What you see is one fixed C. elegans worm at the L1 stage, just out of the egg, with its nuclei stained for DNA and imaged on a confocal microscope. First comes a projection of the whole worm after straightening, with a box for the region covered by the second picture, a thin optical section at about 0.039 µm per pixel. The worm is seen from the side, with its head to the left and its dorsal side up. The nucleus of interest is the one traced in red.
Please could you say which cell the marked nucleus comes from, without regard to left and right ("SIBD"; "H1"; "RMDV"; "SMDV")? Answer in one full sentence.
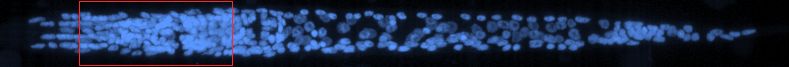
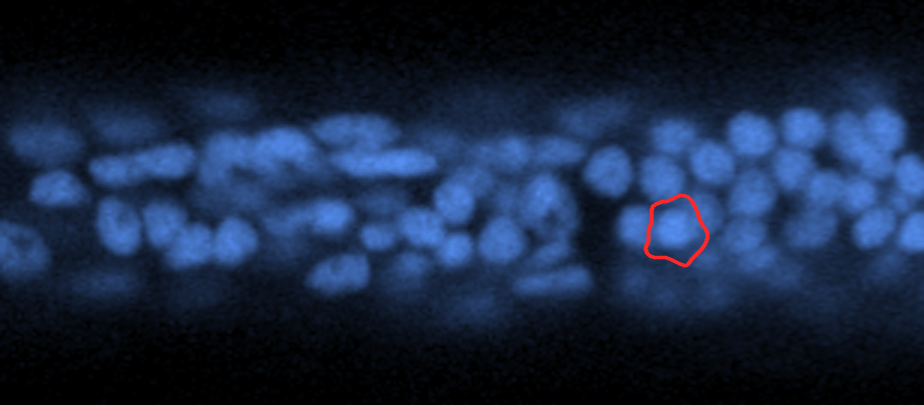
The marked nucleus is that of SIBD, a neuron.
